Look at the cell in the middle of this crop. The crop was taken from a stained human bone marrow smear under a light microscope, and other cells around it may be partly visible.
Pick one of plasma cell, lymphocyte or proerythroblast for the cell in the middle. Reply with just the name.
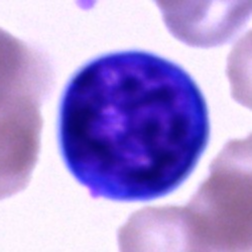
proerythroblast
